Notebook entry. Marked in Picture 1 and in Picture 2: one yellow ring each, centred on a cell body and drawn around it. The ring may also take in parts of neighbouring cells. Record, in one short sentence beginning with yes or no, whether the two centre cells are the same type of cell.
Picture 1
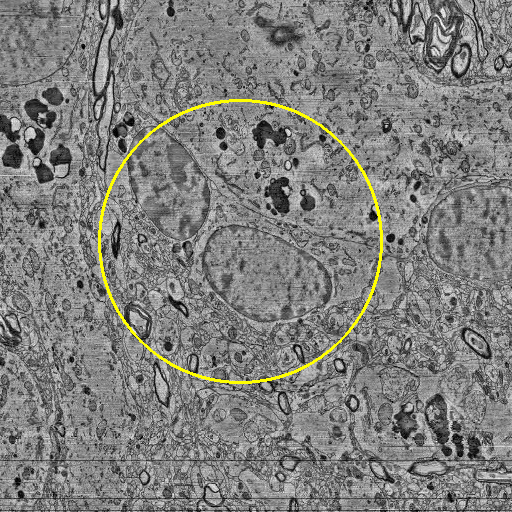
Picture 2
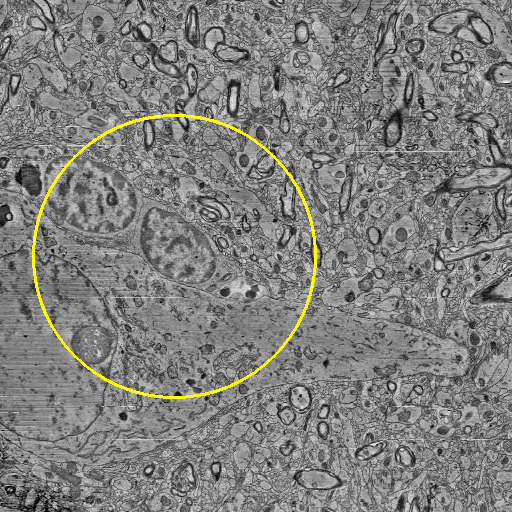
No, they are two types of cell.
